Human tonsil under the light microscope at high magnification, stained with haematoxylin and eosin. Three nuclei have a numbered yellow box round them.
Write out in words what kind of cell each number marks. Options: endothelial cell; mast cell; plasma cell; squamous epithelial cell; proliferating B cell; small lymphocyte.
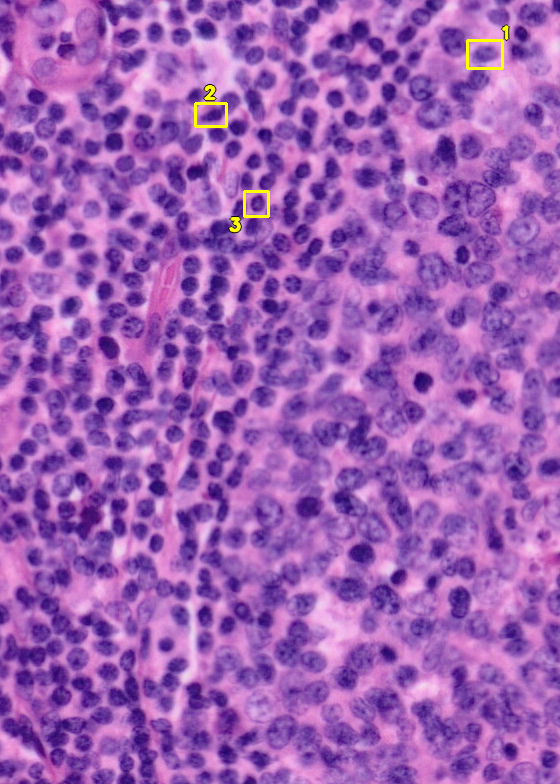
Cell 1 is a proliferating B cell. Cells 2 and 3 are small lymphocytes.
